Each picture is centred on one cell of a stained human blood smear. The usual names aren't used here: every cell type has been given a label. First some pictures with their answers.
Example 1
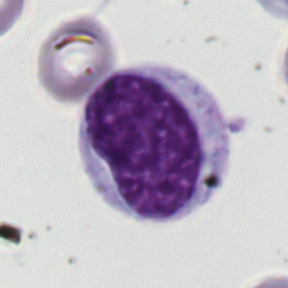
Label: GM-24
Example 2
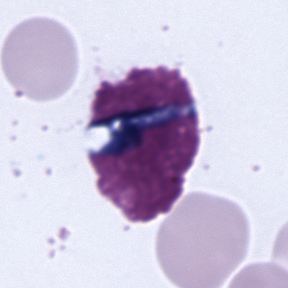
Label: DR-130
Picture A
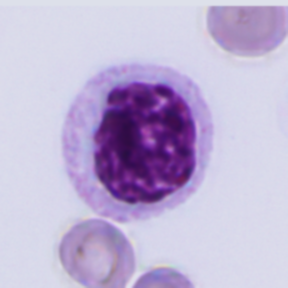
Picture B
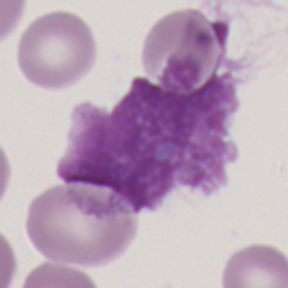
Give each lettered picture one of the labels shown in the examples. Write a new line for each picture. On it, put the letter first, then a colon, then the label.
A: GM-24
B: DR-130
